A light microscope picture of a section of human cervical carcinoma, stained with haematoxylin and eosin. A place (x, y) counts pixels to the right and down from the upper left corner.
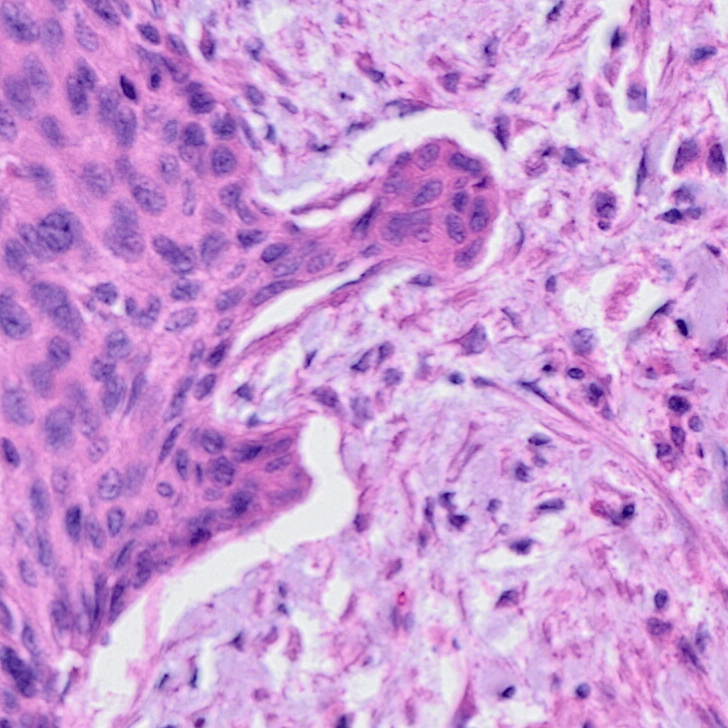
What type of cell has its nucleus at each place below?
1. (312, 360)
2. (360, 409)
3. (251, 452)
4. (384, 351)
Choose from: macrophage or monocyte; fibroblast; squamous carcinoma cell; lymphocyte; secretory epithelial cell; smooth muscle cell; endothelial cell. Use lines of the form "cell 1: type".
cell 1: fibroblast
cell 2: fibroblast
cell 3: squamous carcinoma cell
cell 4: fibroblast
